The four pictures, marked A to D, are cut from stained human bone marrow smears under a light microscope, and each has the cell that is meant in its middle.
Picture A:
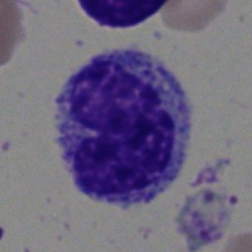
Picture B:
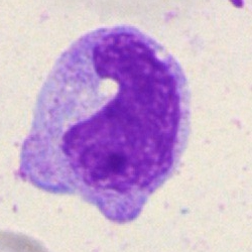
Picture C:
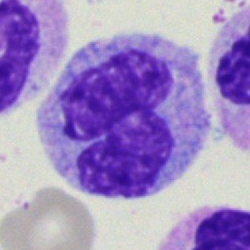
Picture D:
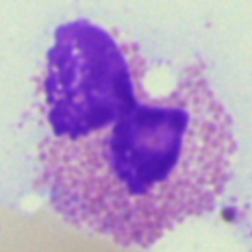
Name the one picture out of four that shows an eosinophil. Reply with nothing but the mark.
D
